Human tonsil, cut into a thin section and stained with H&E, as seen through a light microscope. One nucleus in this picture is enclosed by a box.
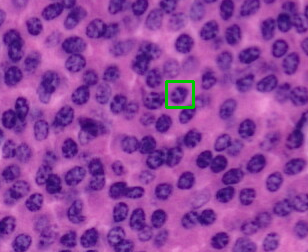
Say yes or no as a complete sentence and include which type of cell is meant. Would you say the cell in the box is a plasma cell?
Yes, the cell in the box is a plasma cell; nothing to add.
